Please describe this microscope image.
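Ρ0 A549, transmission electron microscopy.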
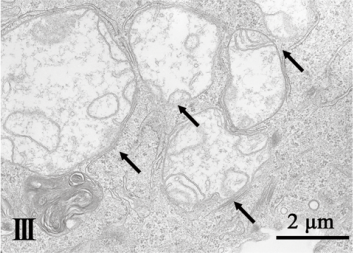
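This electron micrograph shows the cytoplasm of a cell in which the mitochondria look very different from healthy ones. Several are greatly enlarged and rounded, with a pale, almost empty matrix and only few scattered remnants of internal folds, their outlines marked by thin membranes.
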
